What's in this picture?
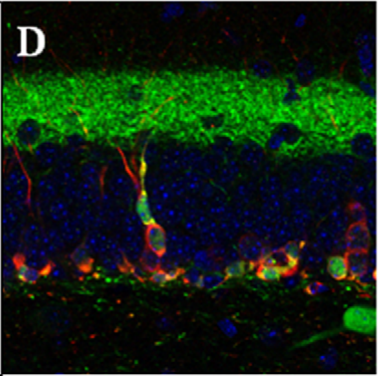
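This section shows the granule cell layer as a broad band of tightly packed blue nuclei, capped above by the green fibrous molecular layer. Along the lower border, in the subgranular zone, many small oval cell bodies outlined in red form a crowded row, several of them with green or yellow-orange cytoplasm. Thin red processes rise from these cells up through the granule cell layer toward the molecular layer. Below the subgranular zone lies a sparser region with scattered nuclei and a large green cell body.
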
